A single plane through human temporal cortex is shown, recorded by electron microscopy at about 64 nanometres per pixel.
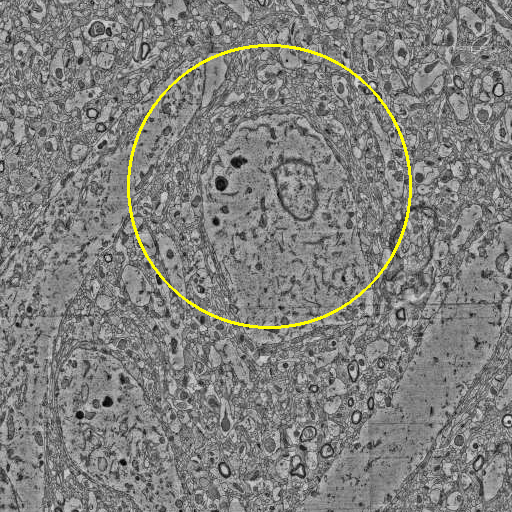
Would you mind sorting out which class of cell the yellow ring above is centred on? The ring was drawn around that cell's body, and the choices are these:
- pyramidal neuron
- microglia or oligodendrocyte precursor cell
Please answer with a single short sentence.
This is the cell body of a pyramidal neuron.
